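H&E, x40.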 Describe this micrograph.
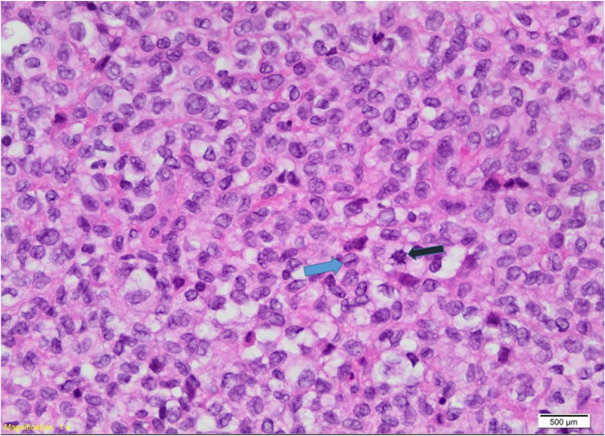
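This high-power view shows a sheet of atypical cells with moderate pale pink cytoplasm and indistinct cell borders. Many of their oval nuclei are grooved or folded along their length, giving a coffee bean look, with fine chromatin.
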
